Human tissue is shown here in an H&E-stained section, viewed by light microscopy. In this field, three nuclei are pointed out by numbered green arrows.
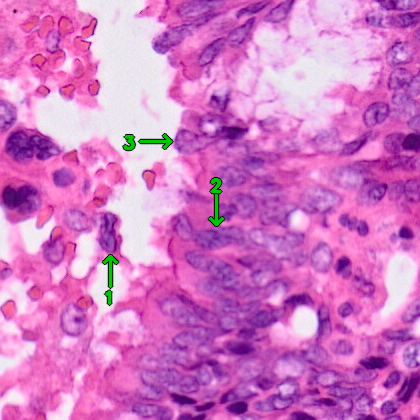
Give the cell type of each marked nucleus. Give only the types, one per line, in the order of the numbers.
macrophage or monocyte
ciliated epithelial cell
ciliated epithelial cell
